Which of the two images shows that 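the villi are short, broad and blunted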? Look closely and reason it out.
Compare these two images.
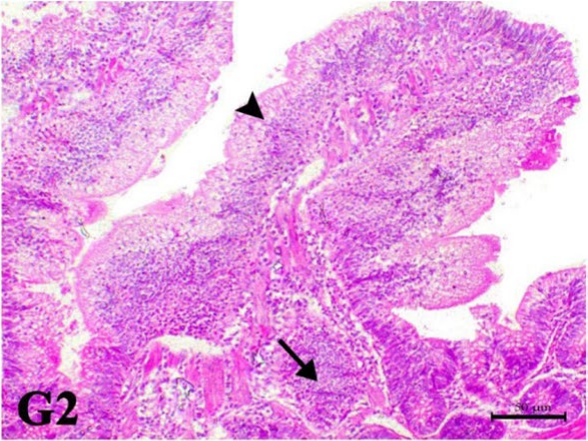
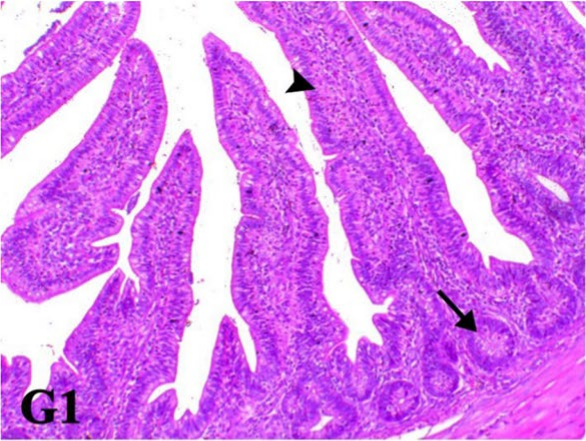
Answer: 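The first image. First image: the mucosal projections are short, wide and irregular with a ragged surface. Second image: the projections are long, slender and evenly spaced with a smooth epithelial lining.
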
